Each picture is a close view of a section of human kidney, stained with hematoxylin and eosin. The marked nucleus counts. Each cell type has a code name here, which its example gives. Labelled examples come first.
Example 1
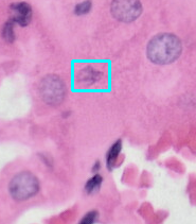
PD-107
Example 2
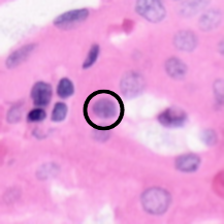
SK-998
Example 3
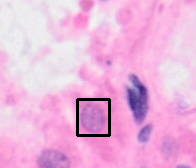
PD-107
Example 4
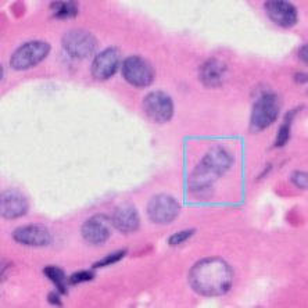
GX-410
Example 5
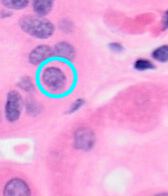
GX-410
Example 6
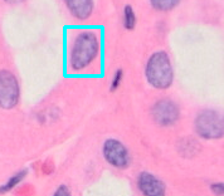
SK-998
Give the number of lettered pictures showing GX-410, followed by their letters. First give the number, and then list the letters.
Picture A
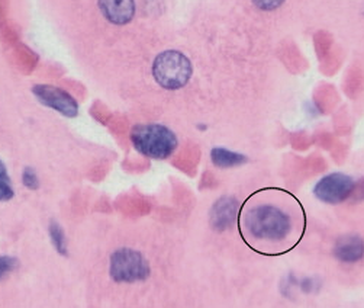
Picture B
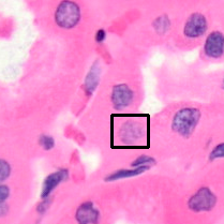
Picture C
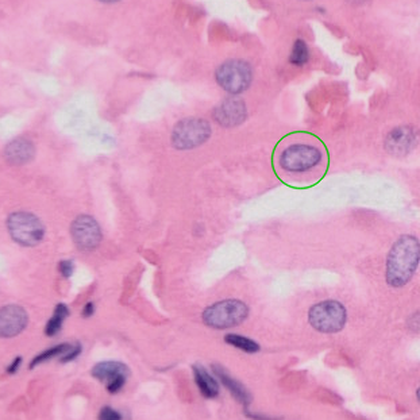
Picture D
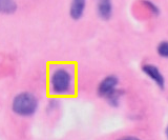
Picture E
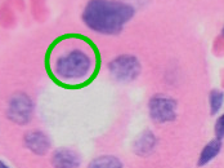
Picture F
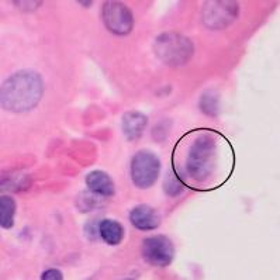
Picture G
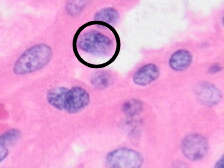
1, namely F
